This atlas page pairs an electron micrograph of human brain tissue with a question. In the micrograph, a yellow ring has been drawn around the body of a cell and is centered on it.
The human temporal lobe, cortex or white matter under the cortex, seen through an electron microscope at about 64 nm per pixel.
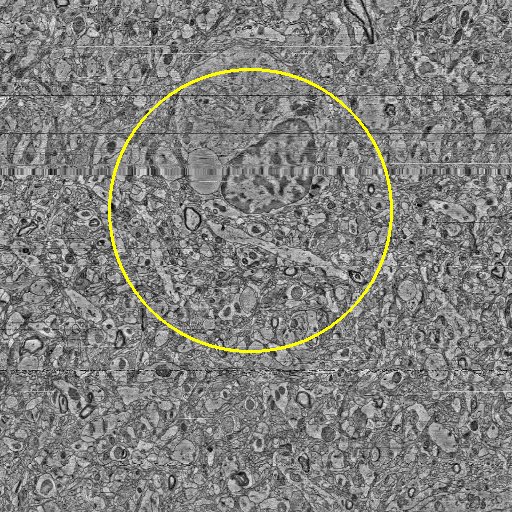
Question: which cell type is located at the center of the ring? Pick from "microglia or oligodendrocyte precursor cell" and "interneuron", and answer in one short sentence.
Located at the center of the ring is a microglial cell or oligodendrocyte precursor cell.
